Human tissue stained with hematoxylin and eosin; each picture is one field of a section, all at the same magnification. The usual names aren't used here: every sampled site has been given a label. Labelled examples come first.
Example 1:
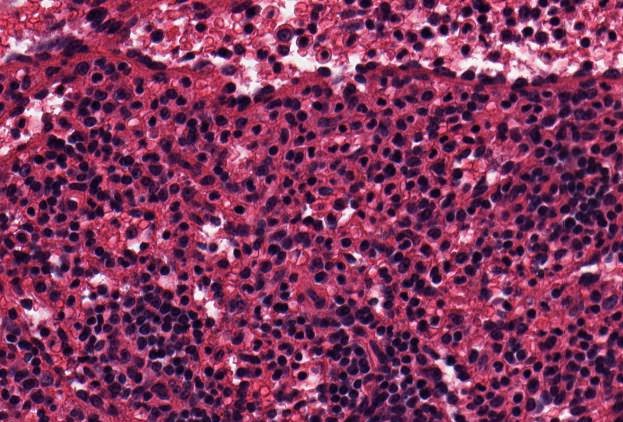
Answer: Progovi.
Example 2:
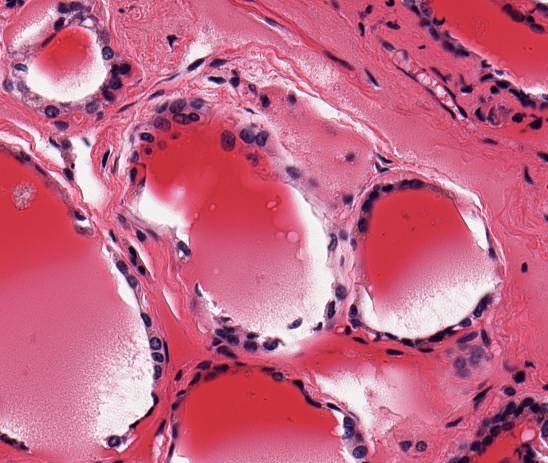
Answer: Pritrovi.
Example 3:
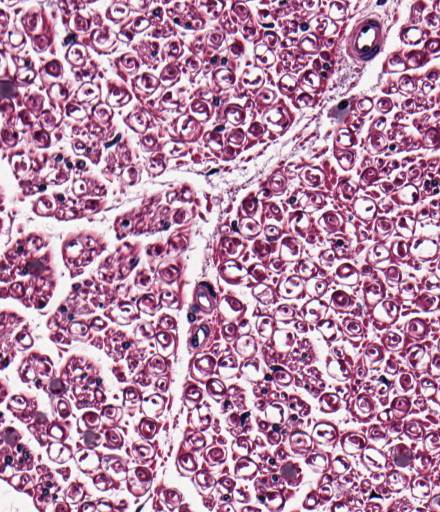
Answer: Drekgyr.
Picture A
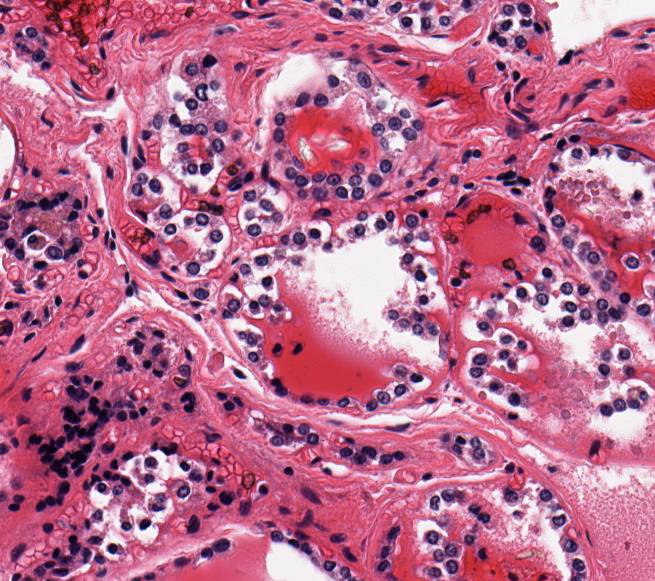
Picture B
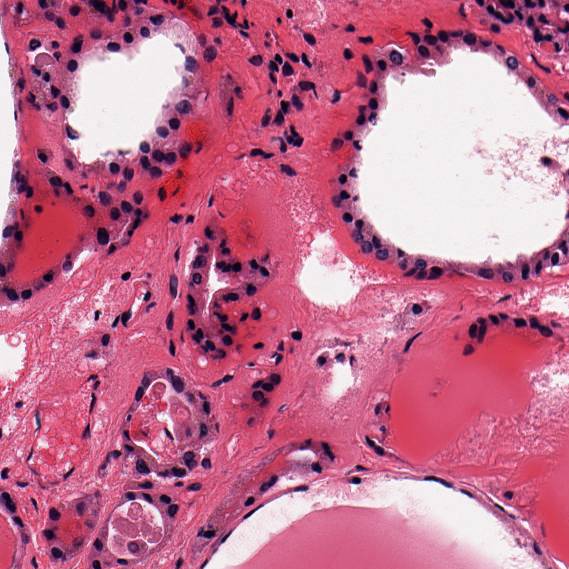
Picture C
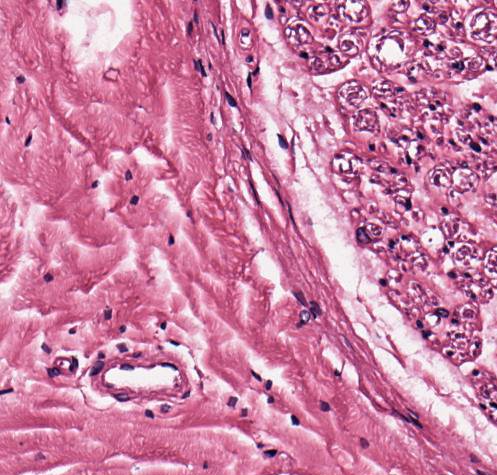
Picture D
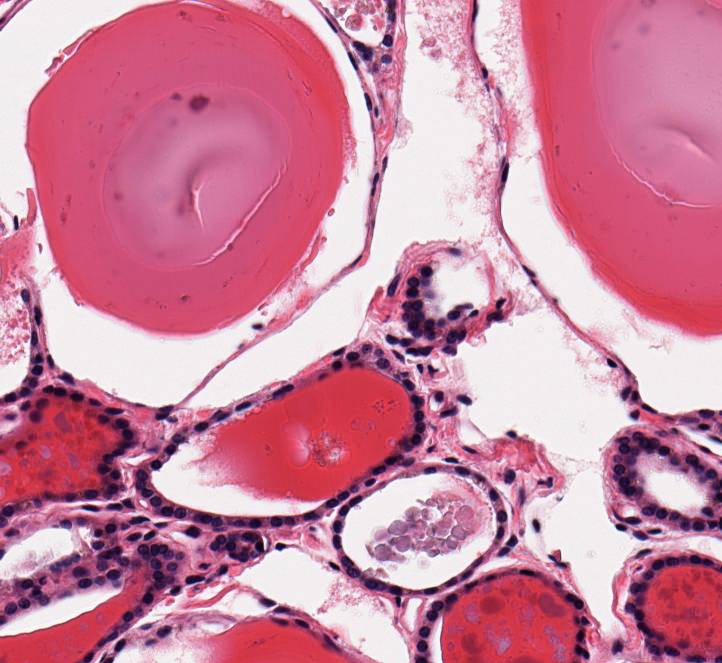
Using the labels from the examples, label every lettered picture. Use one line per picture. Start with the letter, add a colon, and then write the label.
A: Pritrovi.
B: Pritrovi.
C: Drekgyr.
D: Pritrovi.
